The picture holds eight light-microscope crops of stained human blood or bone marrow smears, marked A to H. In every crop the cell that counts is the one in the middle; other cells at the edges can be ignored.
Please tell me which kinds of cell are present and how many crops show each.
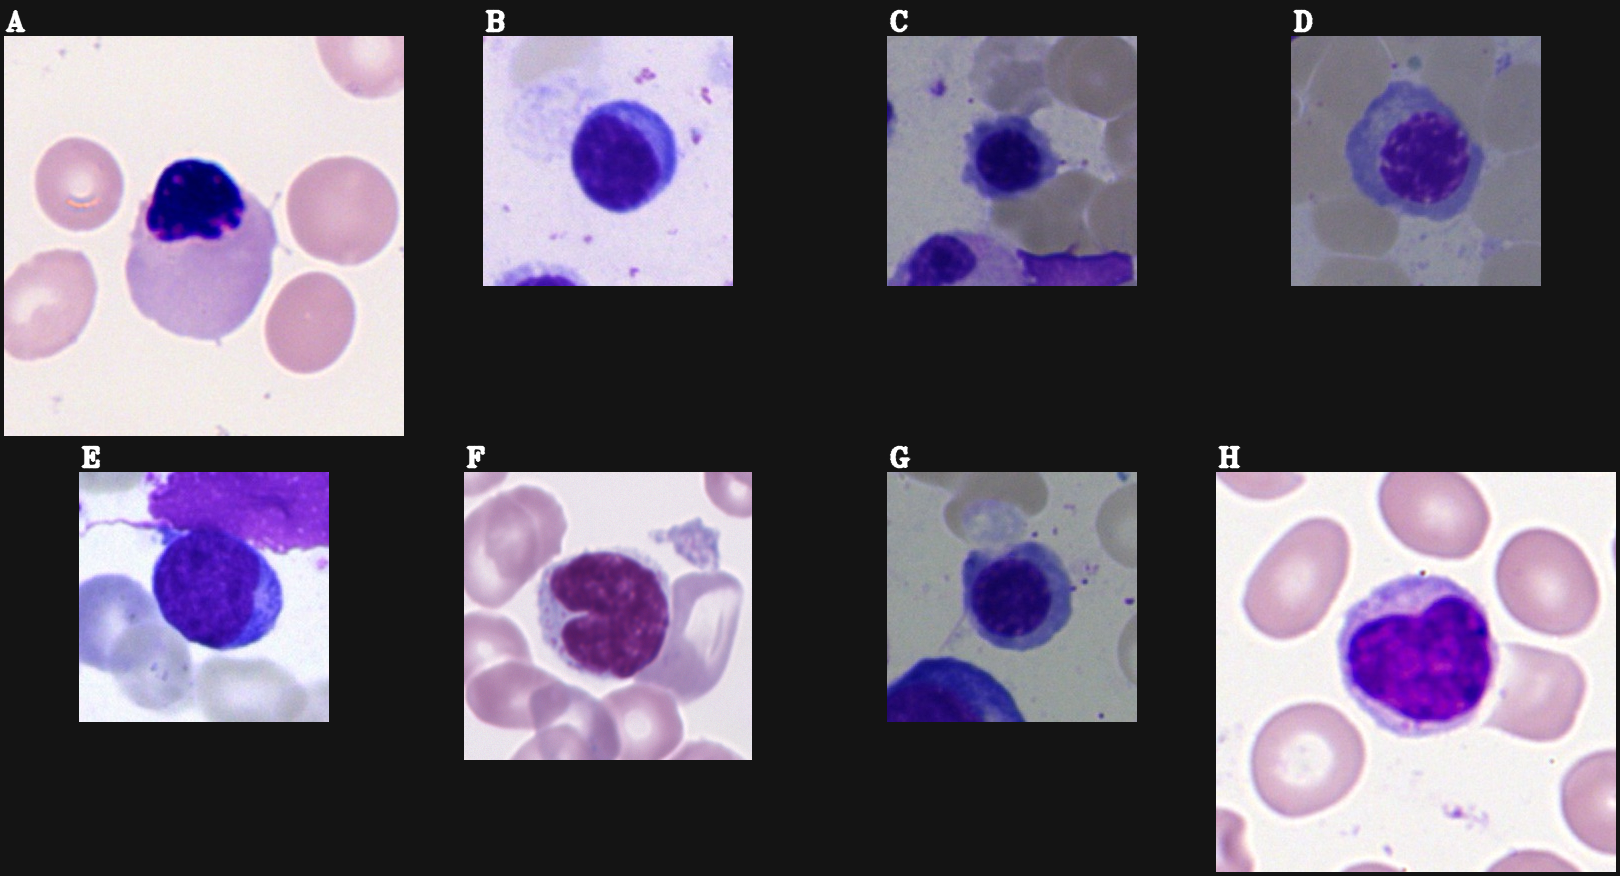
erythroblast: 4
lymphocyte: 4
